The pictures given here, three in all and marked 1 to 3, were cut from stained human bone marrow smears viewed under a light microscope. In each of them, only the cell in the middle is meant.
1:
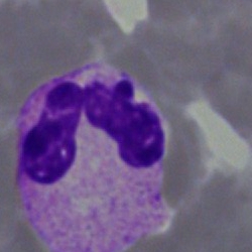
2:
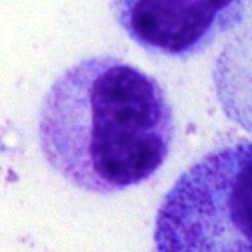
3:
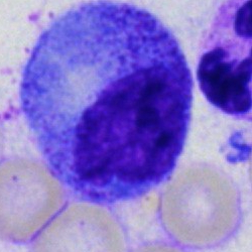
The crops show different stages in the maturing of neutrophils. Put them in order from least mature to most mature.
3, 2, 1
